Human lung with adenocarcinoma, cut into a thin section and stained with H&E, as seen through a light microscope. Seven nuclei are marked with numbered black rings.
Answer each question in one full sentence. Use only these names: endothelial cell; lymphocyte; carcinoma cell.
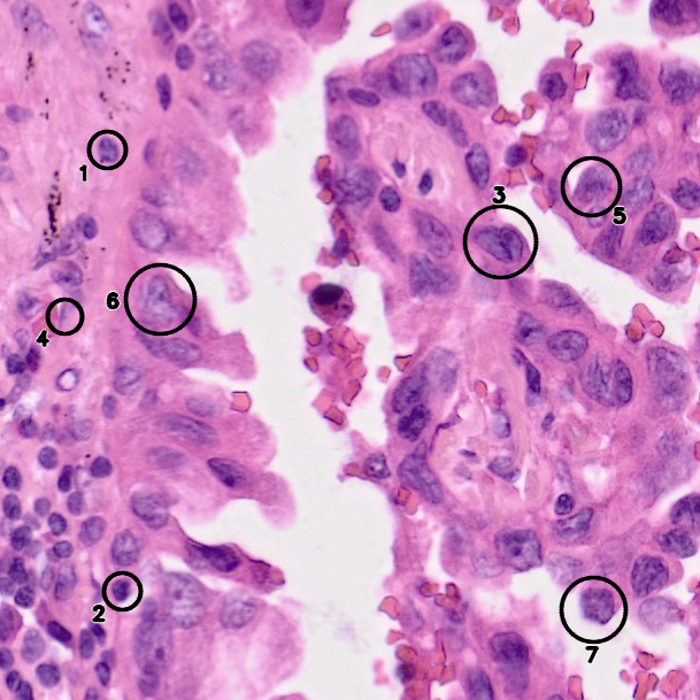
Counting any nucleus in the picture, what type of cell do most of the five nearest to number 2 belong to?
Carcinoma cells make up most of the five nuclei closest to number 2.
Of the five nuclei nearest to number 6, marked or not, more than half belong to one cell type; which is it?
The majority of the five nuclei closest to number 6 belong to carcinoma cells.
